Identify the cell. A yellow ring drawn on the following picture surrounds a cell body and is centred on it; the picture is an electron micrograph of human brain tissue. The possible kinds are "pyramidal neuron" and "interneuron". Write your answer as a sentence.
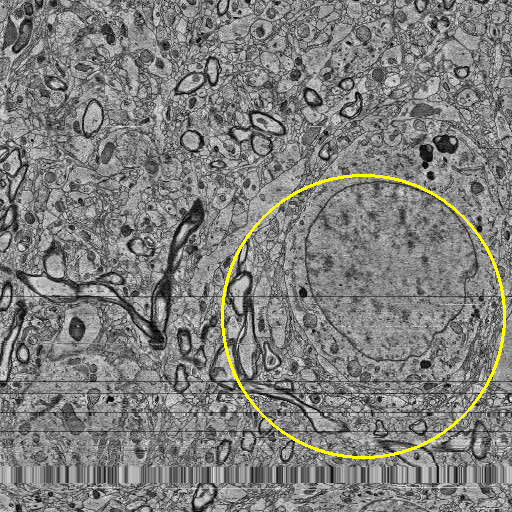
The cell identified by the ring is a pyramidal neuron.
